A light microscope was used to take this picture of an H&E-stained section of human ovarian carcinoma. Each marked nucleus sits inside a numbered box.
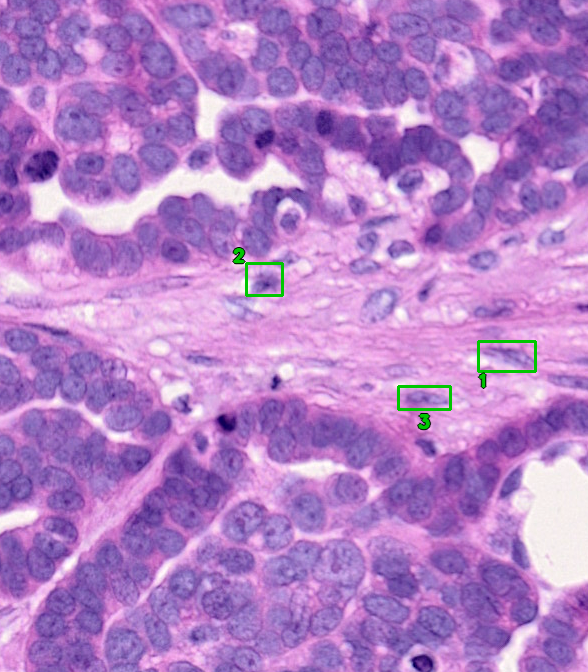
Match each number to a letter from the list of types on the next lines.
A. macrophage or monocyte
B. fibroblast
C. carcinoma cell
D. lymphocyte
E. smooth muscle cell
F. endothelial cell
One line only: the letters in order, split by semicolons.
B; A; B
